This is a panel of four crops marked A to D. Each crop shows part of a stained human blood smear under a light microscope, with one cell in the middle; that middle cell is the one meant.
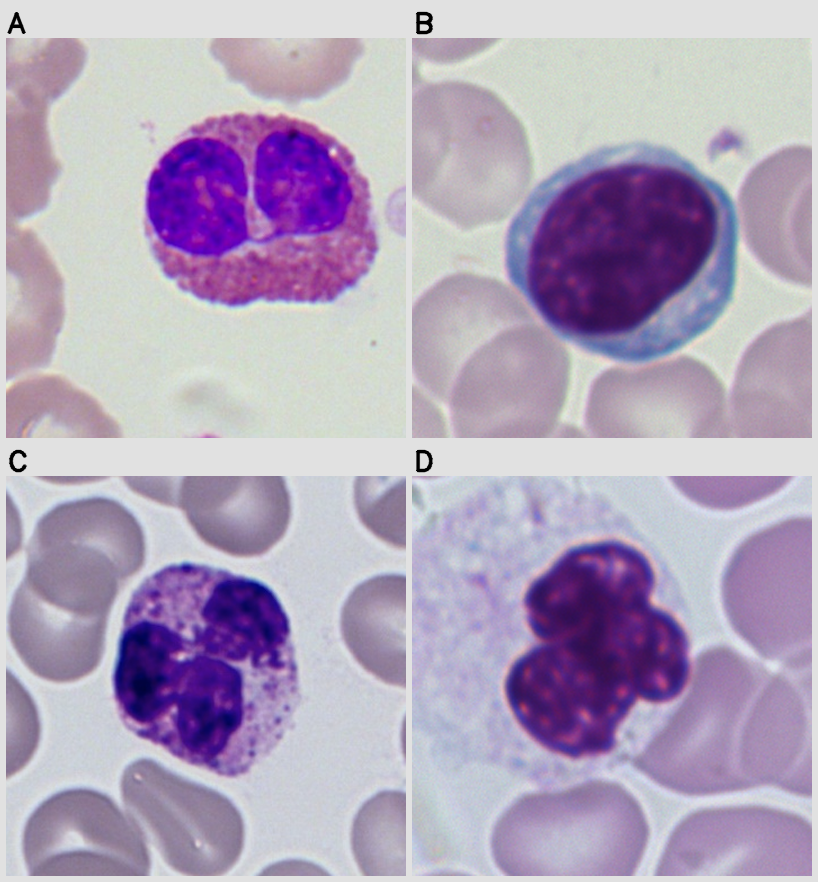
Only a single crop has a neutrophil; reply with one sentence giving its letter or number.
The requested cell, a neutrophil, is the one in crop D.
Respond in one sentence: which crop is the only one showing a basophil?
Within this set, crop C is the one with a basophil at its center.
